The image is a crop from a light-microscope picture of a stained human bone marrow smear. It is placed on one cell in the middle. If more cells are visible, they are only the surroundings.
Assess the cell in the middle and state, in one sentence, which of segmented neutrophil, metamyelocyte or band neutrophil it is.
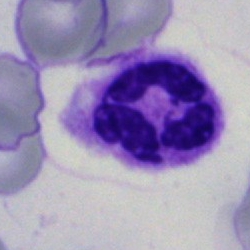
This crop is built around a segmented neutrophil at its centre.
